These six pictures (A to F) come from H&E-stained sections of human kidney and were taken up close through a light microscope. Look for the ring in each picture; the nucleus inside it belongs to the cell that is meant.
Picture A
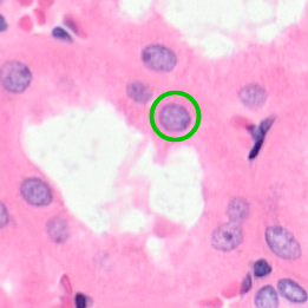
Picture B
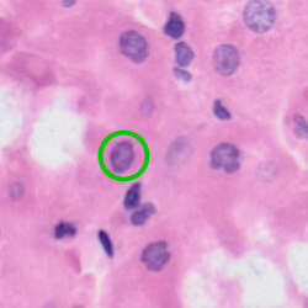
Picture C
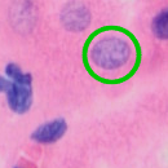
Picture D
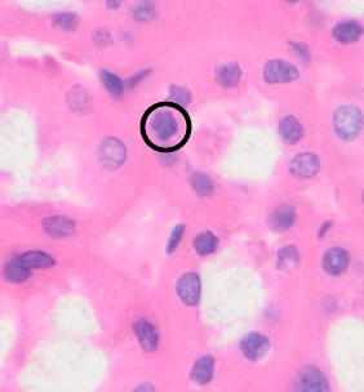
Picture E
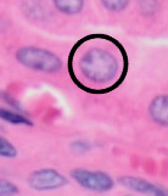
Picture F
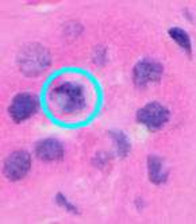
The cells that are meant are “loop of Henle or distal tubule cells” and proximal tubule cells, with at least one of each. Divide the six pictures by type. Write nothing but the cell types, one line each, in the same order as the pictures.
proximal tubule cell
proximal tubule cell
proximal tubule cell
loop of Henle or distal tubule cell
proximal tubule cell
loop of Henle or distal tubule cell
